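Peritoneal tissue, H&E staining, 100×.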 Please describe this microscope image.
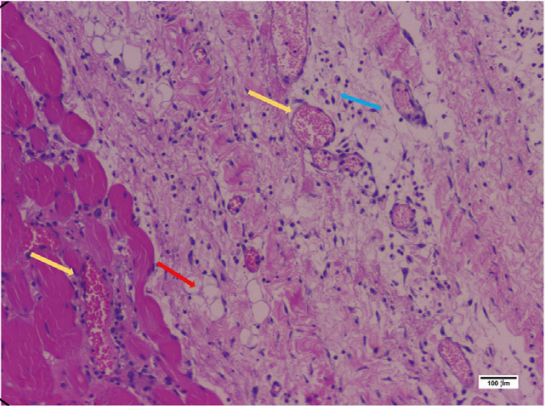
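On the left lie deep pink bundles of muscle fibres, and to the right of them a broad layer of pale, loose pinkish tissue is crowded with small, dark purple, round nuclei. Within this loose layer are several rounded channels filled with small red corpuscles, which are blood vessels, and next to the muscle a group of round clear empty spaces with thin rims, which are fat cells. The many small dark nuclei scattered through the loose tissue are inflammatory cells, and the whole layer is much thicker and more cellular than a thin lining would be.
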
